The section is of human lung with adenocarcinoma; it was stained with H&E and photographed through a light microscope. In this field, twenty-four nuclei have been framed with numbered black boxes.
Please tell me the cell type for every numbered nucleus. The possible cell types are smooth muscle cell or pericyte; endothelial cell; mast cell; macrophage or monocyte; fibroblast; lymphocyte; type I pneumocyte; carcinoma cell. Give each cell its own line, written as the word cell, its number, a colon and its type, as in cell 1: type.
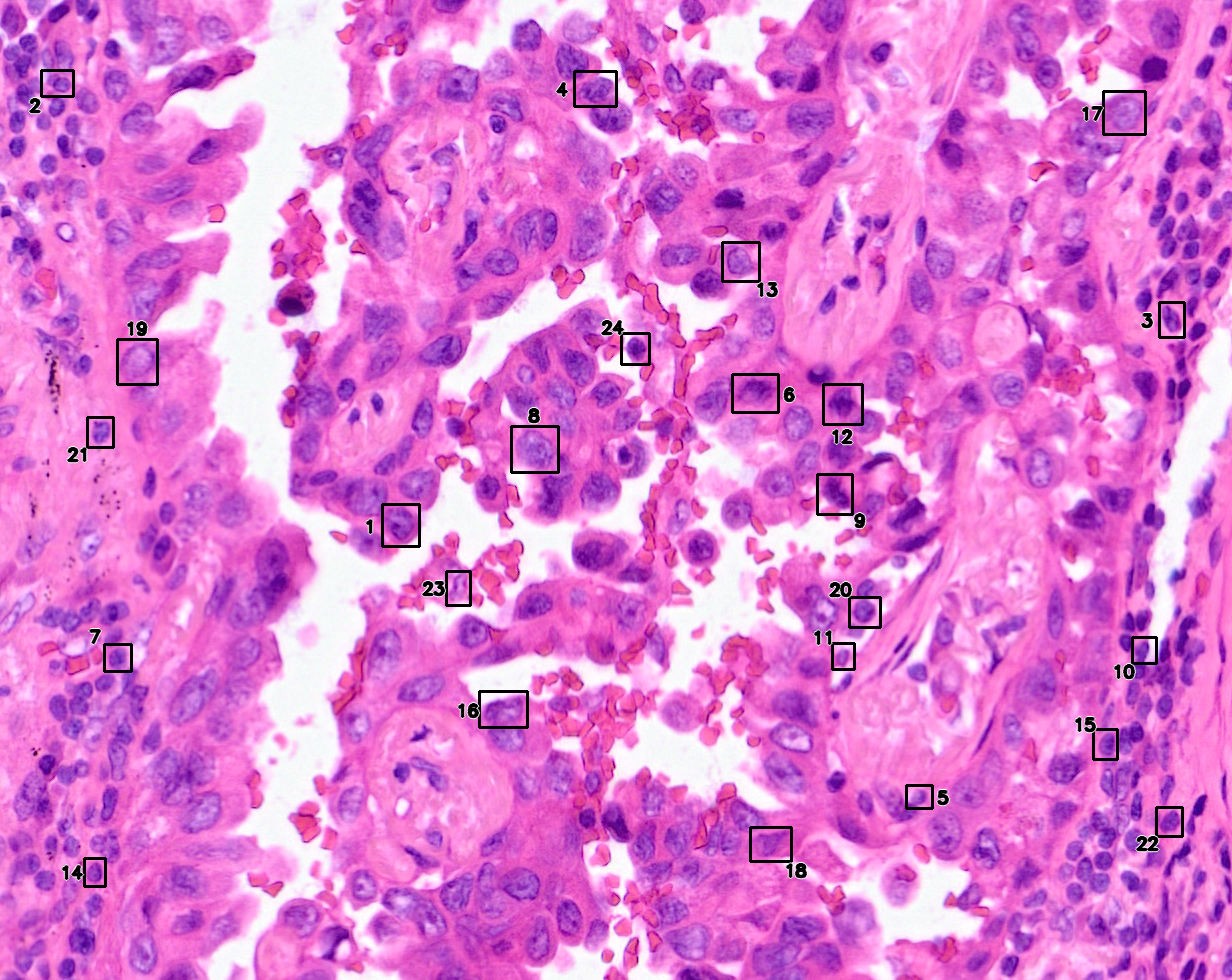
cell 1: carcinoma cell
cell 2: lymphocyte
cell 3: lymphocyte
cell 4: carcinoma cell
cell 5: lymphocyte
cell 6: carcinoma cell
cell 7: lymphocyte
cell 8: carcinoma cell
cell 9: carcinoma cell
cell 10: lymphocyte
cell 11: lymphocyte
cell 12: carcinoma cell
cell 13: carcinoma cell
cell 14: lymphocyte
cell 15: lymphocyte
cell 16: carcinoma cell
cell 17: carcinoma cell
cell 18: carcinoma cell
cell 19: carcinoma cell
cell 20: lymphocyte
cell 21: mast cell
cell 22: mast cell
cell 23: macrophage or monocyte
cell 24: lymphocyte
